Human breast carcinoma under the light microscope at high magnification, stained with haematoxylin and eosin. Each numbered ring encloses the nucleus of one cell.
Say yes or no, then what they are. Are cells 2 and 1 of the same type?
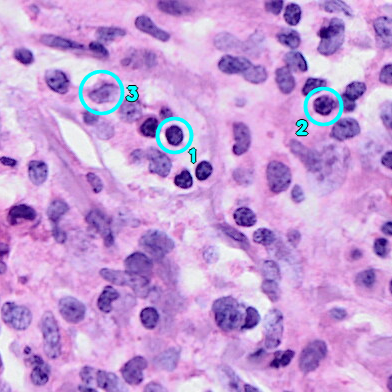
Yes, cells 2 and 1 are two lymphocytes.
